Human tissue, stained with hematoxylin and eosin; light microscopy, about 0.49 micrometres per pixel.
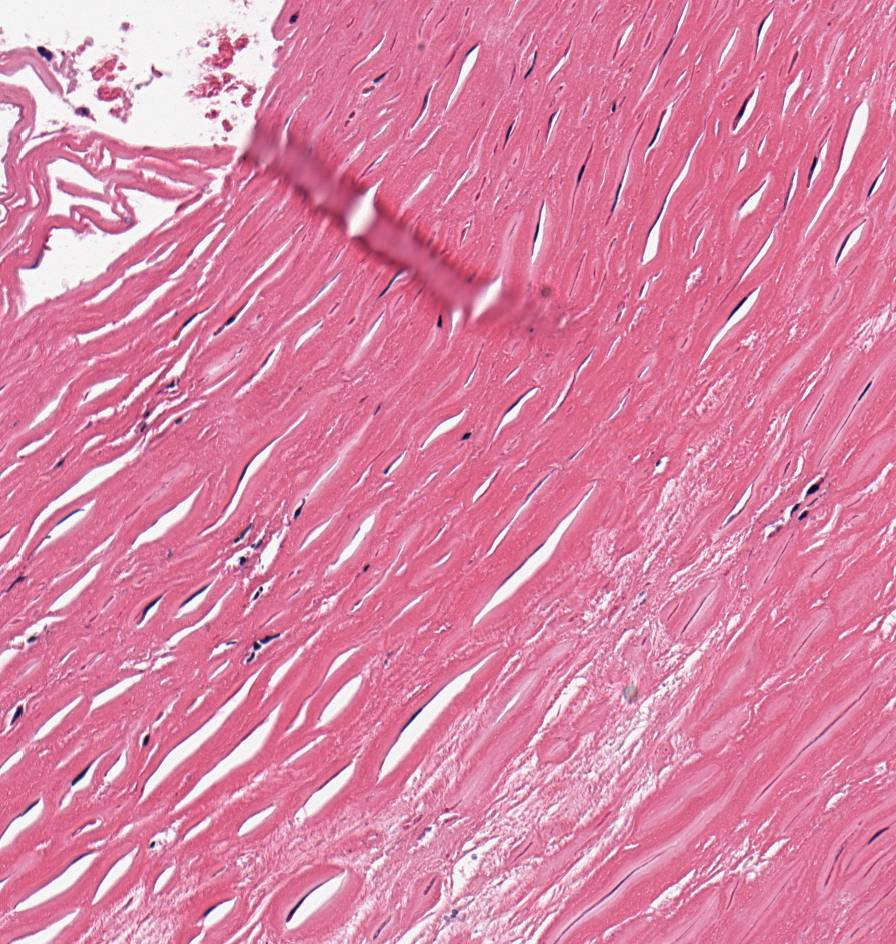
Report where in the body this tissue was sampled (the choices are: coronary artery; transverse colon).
coronary artery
